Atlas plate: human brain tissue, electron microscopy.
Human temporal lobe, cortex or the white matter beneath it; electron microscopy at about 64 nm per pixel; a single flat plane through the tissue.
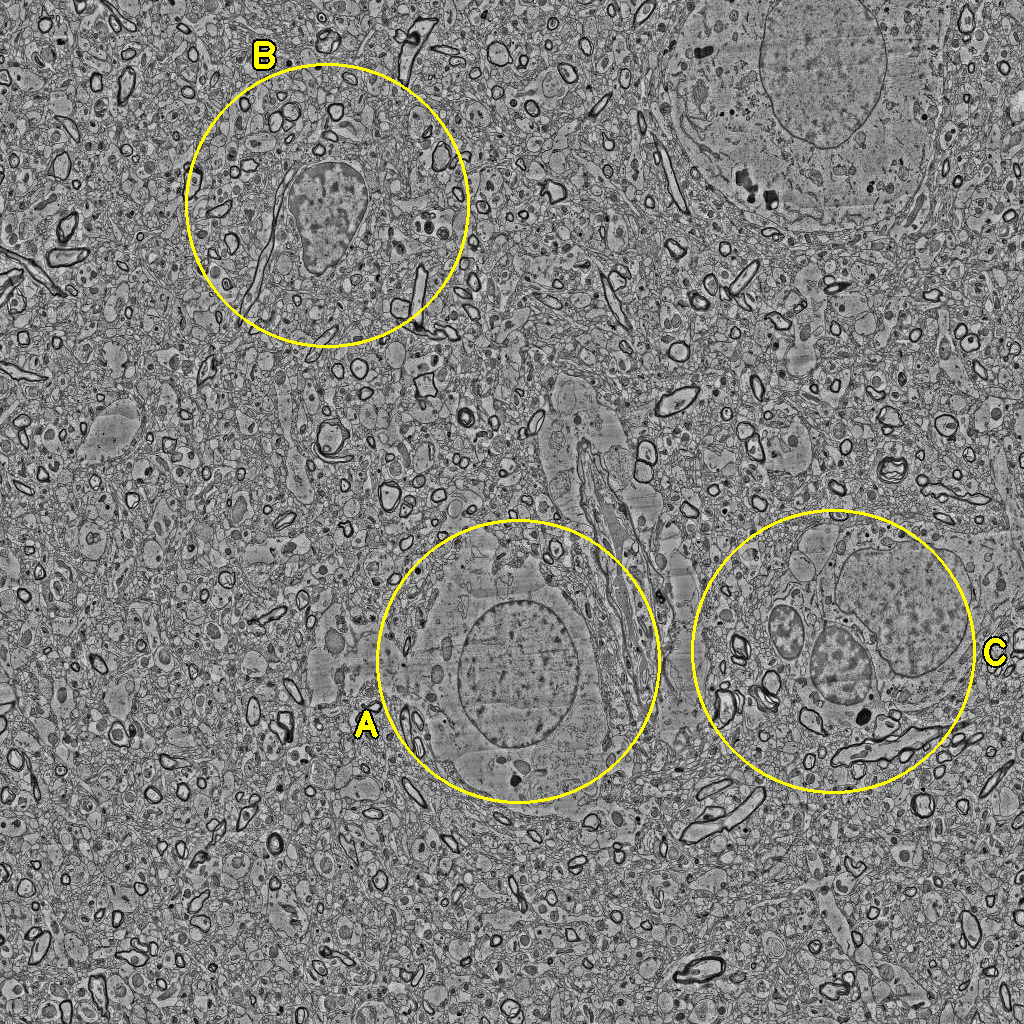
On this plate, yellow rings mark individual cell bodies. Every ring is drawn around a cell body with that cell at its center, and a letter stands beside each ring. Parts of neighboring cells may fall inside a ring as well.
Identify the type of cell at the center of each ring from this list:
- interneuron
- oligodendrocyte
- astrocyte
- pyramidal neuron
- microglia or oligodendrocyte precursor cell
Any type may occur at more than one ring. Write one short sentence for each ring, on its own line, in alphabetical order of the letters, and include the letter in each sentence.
At the center of ring A lies an astrocyte.
At the center of ring B lies a microglial cell or oligodendrocyte precursor cell.
At the center of ring C lies an oligodendrocyte.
